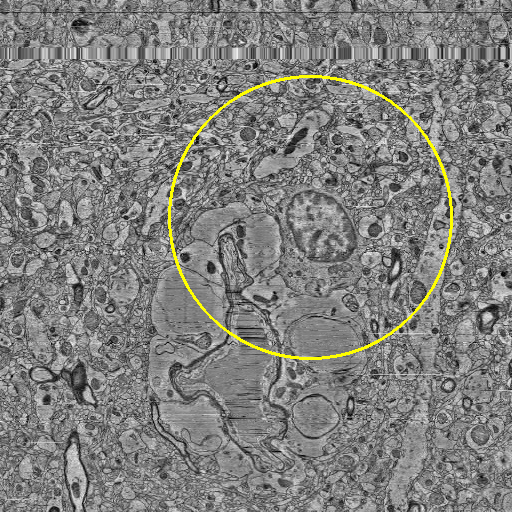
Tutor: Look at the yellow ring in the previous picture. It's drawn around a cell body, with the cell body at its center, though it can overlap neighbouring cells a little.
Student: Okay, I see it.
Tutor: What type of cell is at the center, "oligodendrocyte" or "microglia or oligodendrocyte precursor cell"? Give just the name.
oligodendrocyte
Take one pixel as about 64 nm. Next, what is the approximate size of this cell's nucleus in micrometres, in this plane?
The nucleus works out at approximately 5 by 4 micrometres in this plane.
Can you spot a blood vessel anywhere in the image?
Yes, the picture includes a blood vessel.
